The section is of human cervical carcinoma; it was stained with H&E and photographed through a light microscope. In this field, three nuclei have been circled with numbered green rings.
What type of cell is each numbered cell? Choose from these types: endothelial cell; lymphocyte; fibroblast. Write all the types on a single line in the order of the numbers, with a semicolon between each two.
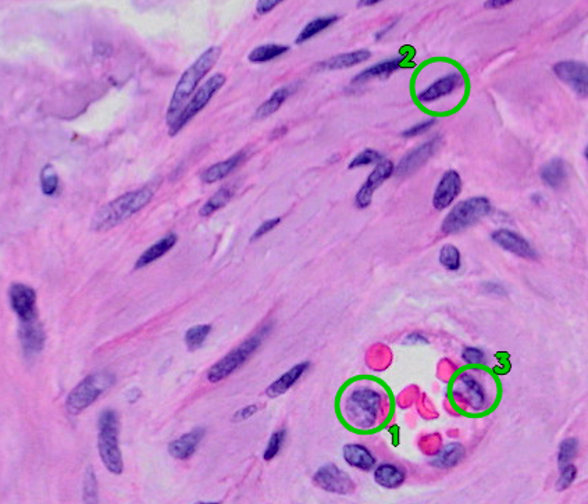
endothelial cell; fibroblast; endothelial cell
